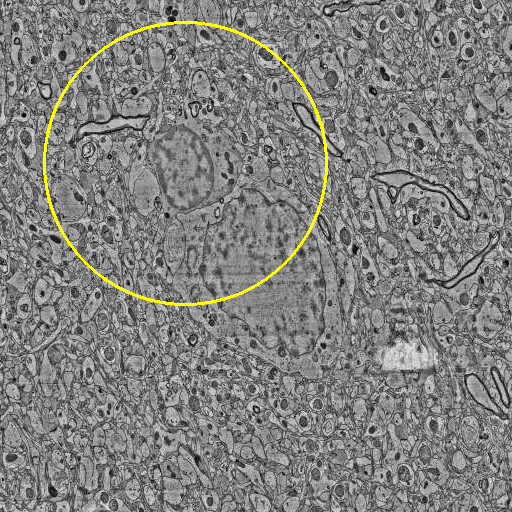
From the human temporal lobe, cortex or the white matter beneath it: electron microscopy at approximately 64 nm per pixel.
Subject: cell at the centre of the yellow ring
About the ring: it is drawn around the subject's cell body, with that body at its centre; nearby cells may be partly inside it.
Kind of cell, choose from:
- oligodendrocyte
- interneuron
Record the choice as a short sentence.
The subject cell is an oligodendrocyte.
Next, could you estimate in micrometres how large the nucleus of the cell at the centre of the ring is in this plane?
In this plane, about 5 micrometres in length and 4 in width.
